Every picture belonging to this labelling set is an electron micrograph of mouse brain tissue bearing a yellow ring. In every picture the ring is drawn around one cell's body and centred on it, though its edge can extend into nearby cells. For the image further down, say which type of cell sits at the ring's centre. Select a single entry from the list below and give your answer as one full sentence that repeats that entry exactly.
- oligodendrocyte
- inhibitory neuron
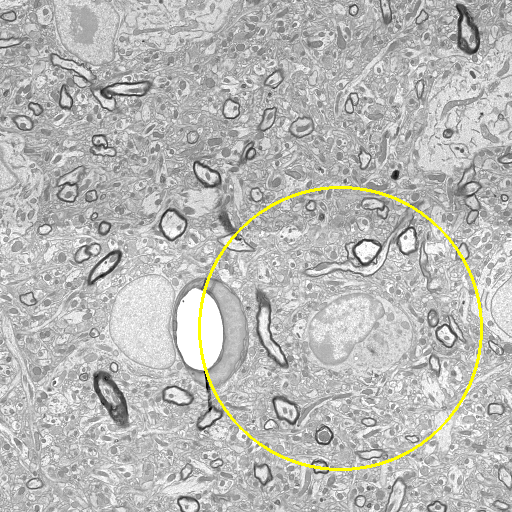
In the picture, an oligodendrocyte is the cell at the centre of the yellow ring.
